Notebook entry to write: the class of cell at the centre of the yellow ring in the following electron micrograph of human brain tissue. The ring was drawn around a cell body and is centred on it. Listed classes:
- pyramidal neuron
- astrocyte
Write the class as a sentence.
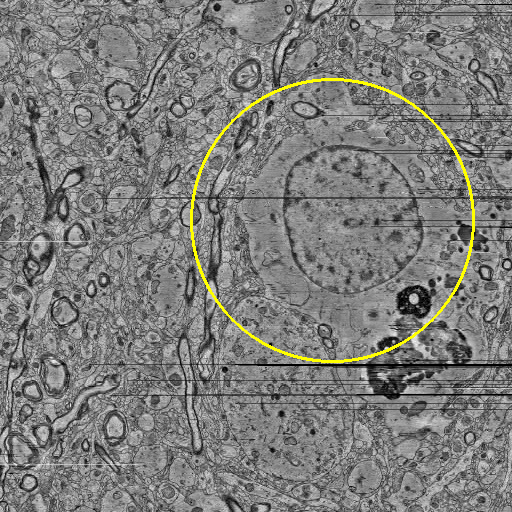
The yellow ring sits on an astrocyte.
